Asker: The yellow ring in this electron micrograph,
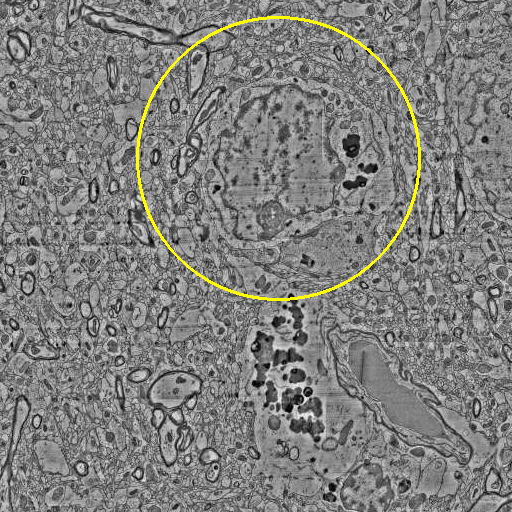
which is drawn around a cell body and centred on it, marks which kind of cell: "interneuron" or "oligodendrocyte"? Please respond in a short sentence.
The marked cell is an interneuron.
